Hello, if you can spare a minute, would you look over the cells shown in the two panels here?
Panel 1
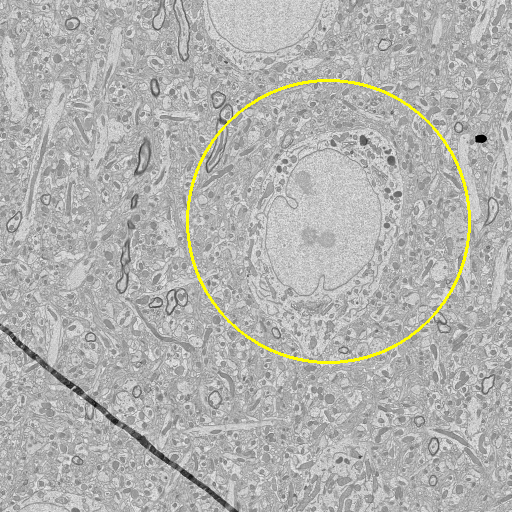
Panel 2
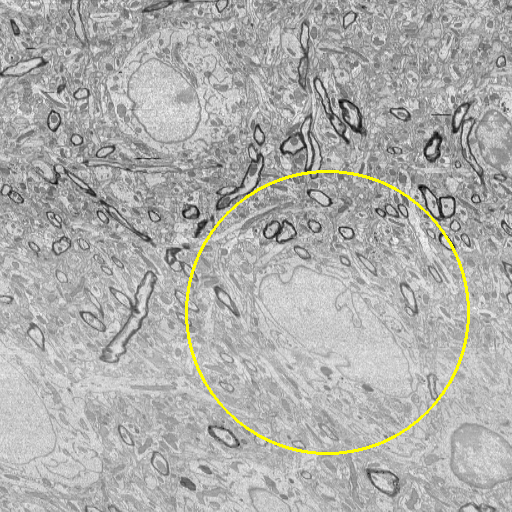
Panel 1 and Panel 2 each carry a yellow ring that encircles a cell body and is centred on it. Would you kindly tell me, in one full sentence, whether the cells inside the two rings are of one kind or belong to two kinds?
The cells at the centres of the rings in Panel 1 and Panel 2 are of one kind.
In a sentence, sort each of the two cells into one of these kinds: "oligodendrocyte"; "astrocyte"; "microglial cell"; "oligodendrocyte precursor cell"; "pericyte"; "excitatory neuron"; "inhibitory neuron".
Each one of the two ringed cells is an inhibitory neuron.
